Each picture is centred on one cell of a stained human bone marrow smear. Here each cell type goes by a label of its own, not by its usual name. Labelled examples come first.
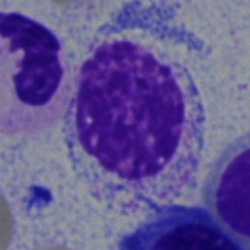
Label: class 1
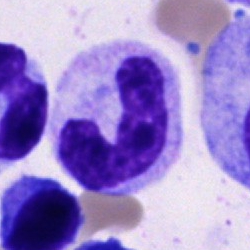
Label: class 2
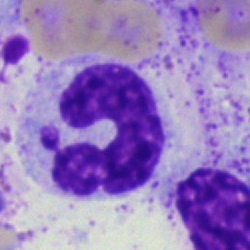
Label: class 2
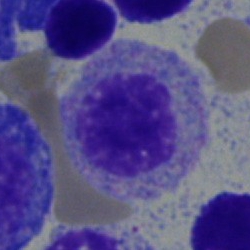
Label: class 1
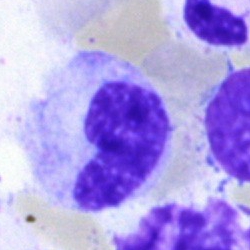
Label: class 2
